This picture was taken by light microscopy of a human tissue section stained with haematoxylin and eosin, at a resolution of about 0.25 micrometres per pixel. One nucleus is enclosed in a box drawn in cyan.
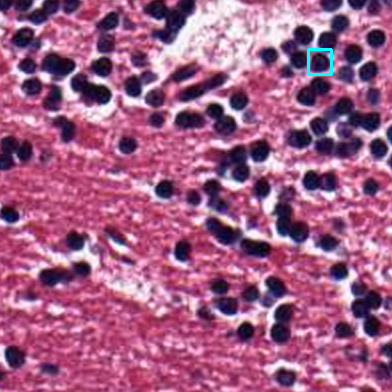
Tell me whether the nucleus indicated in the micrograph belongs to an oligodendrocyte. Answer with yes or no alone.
no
